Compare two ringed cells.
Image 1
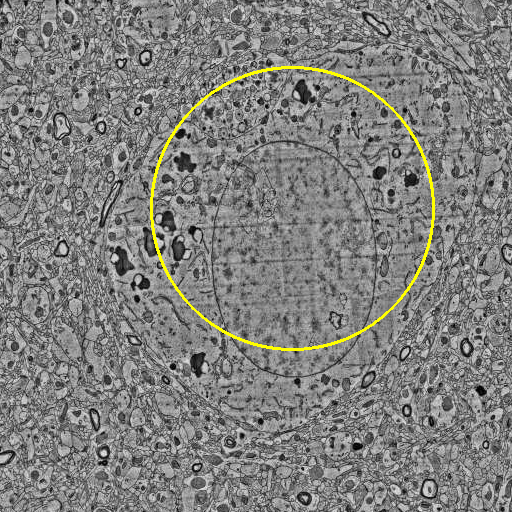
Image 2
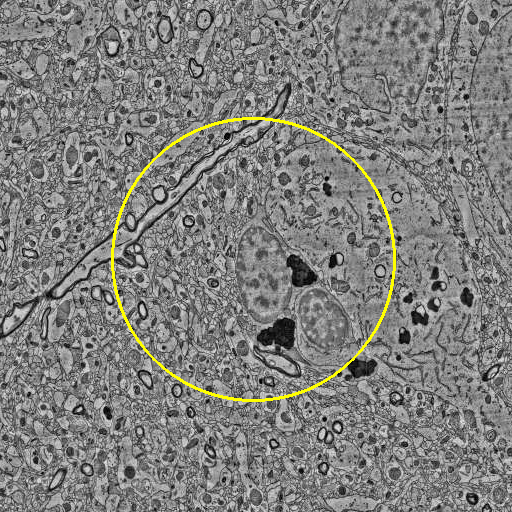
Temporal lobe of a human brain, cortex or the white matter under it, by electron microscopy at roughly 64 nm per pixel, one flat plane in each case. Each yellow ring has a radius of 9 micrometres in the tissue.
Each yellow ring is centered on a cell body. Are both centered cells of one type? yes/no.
no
